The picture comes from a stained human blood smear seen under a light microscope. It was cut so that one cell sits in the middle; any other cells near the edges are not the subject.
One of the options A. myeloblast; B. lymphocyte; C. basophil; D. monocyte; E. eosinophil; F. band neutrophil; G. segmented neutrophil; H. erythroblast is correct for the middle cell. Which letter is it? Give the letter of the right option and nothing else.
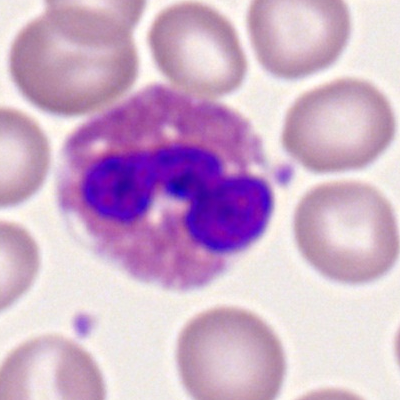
E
